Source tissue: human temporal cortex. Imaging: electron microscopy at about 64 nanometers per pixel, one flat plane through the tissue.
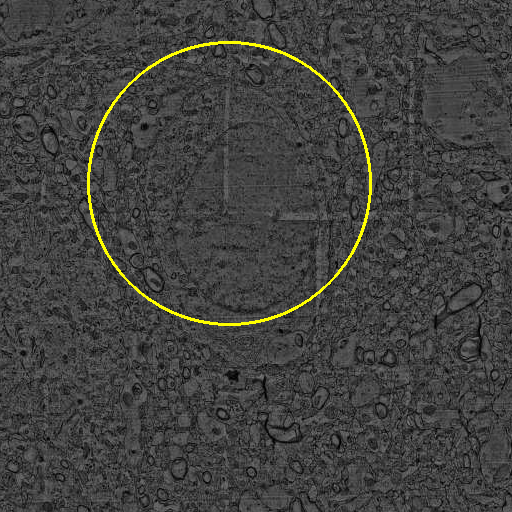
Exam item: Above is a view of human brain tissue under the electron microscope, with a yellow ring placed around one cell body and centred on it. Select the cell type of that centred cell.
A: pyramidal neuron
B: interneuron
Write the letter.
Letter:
B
